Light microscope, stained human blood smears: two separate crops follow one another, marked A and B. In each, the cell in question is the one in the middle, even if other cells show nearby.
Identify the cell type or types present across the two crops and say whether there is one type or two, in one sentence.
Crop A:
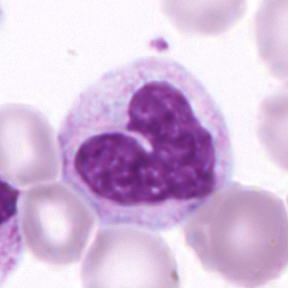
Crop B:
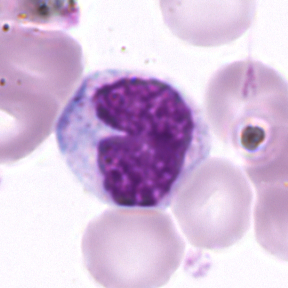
Yes, as shown in both crops, the central cells are band neutrophils.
